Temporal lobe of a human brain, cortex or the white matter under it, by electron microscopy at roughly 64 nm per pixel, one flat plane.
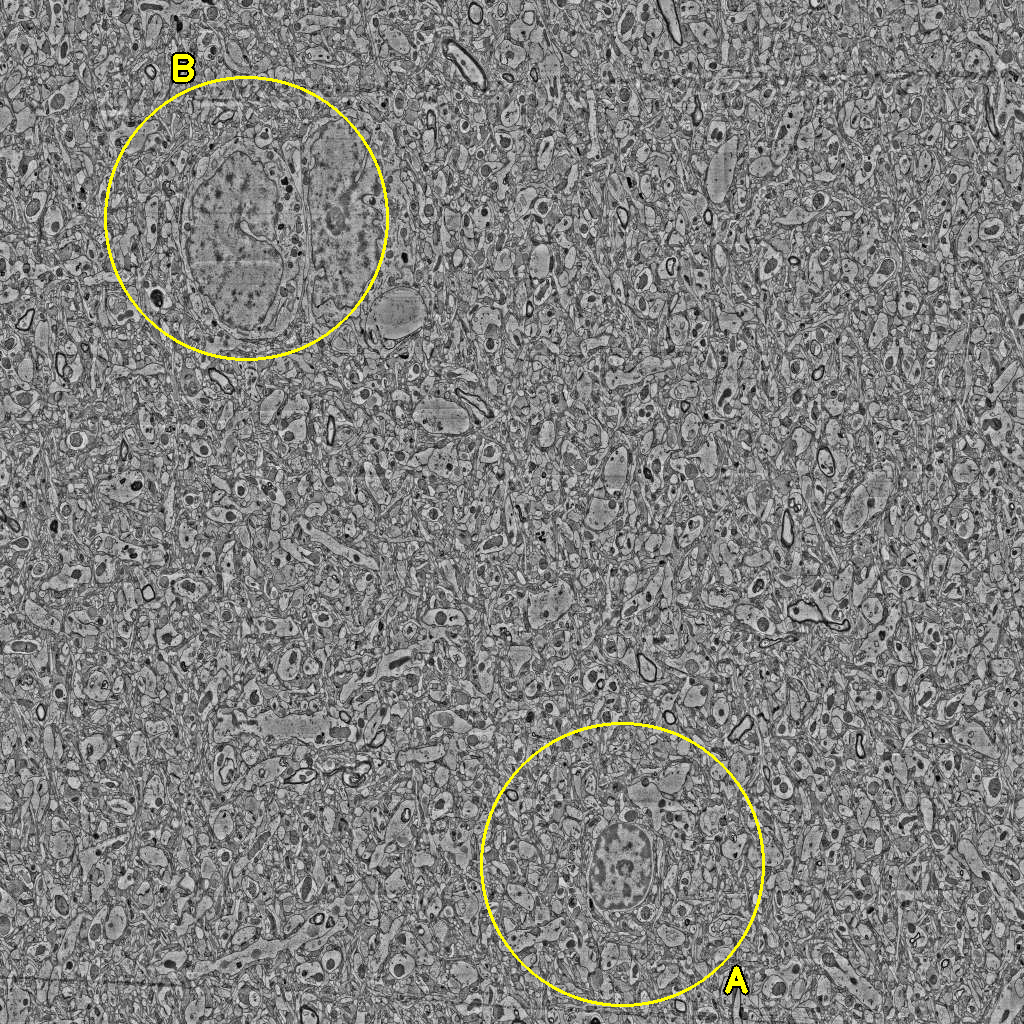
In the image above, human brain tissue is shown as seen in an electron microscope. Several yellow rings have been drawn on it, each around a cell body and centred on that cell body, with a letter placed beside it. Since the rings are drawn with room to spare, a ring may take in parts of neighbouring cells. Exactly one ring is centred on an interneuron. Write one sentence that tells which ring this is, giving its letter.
The ring marked B is centred on it.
